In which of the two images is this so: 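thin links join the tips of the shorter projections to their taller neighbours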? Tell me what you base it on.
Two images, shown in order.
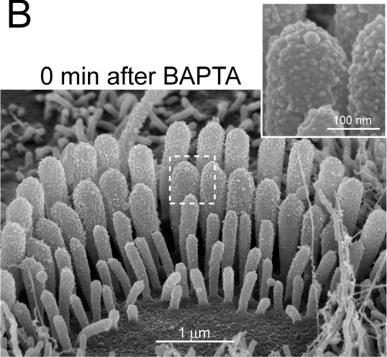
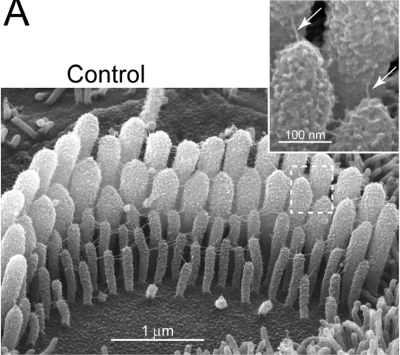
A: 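First image: the magnified tips in the inset are bare, with no strands running from them. Second image: the inset shows thin strands running from the tips of the shorter projections upward.
The second image.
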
